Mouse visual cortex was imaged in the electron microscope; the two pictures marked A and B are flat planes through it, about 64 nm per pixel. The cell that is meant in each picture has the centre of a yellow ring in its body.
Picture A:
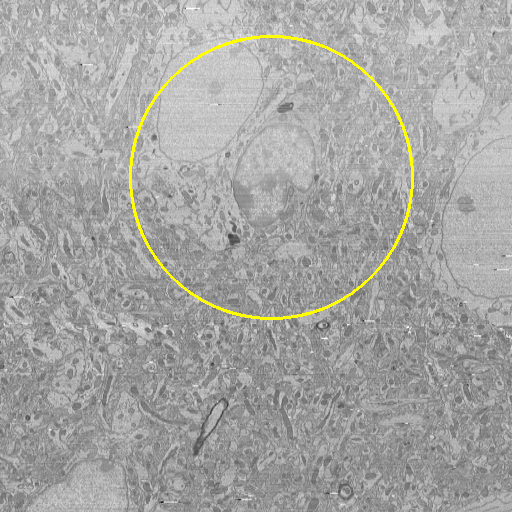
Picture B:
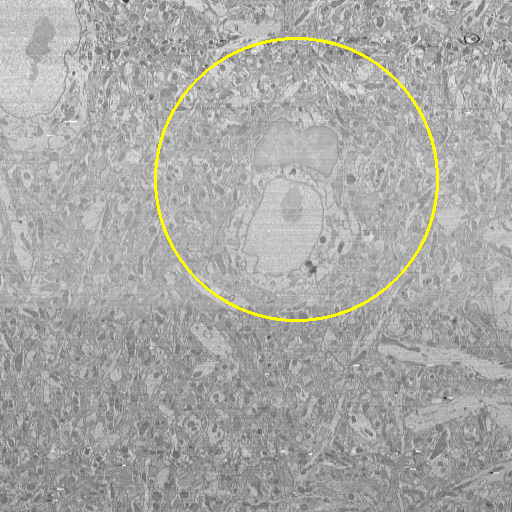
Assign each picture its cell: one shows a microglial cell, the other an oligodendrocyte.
Picture A is of an oligodendrocyte, and picture B is of a microglial cell.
